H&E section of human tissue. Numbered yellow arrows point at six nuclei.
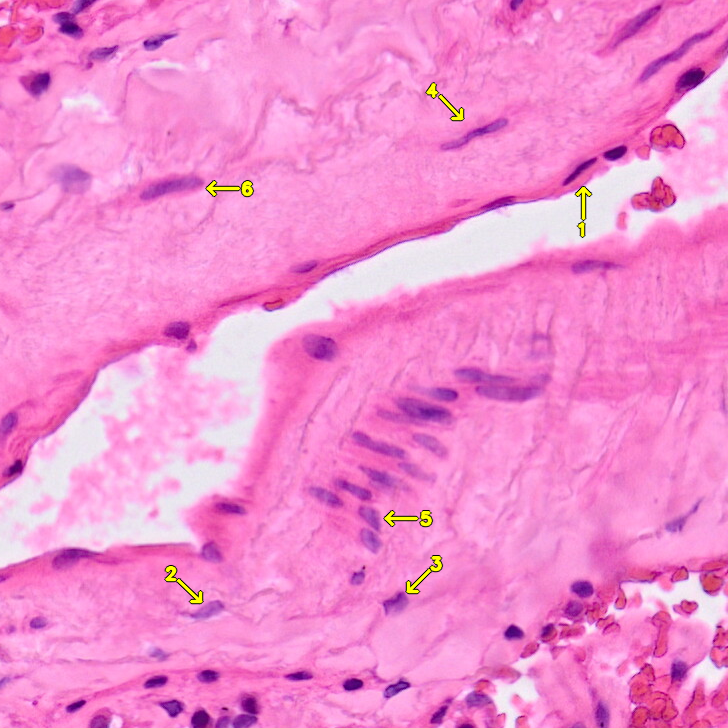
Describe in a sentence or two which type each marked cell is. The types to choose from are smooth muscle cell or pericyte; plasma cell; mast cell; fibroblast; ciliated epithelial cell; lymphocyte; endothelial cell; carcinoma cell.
Cell 1 is an endothelial cell. Cells 2 and 3 are fibroblasts. Cells 4, 5 and 6 are smooth muscle cells or pericytes.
